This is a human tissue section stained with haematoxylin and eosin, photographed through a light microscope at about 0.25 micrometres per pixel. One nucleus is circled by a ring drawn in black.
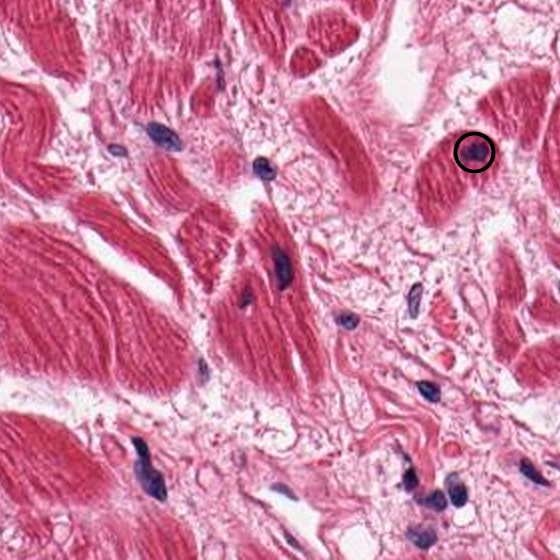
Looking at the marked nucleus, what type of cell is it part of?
cardiomyocyte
